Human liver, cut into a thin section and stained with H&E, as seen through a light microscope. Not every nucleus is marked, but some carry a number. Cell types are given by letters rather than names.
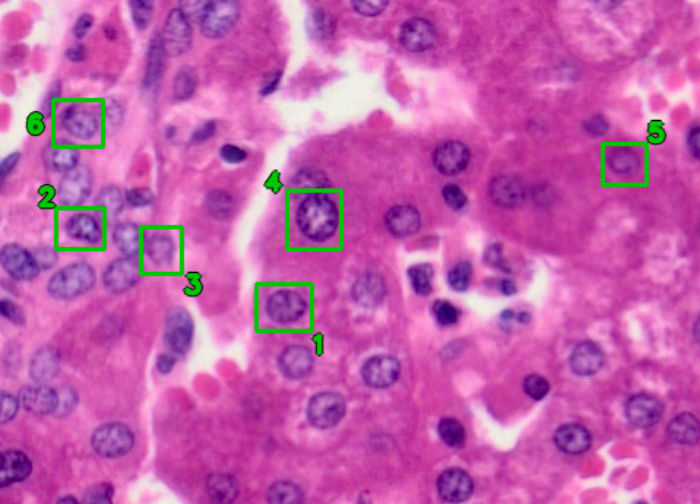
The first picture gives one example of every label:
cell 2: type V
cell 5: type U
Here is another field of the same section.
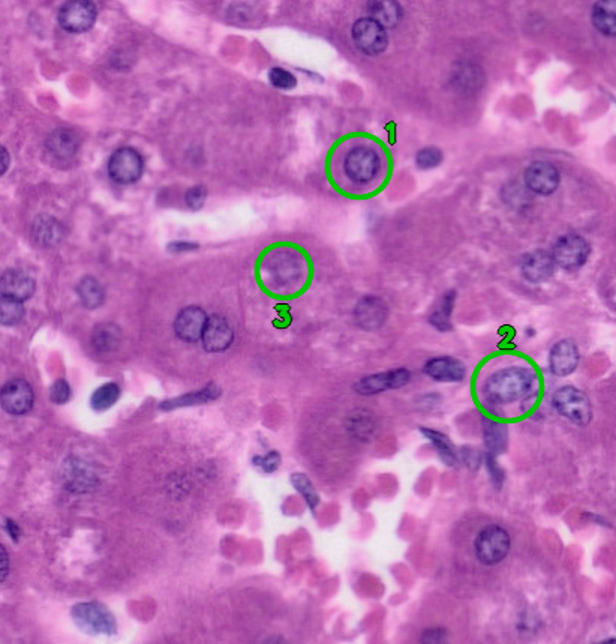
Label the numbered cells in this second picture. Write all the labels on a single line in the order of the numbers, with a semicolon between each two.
type U; type V; type U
